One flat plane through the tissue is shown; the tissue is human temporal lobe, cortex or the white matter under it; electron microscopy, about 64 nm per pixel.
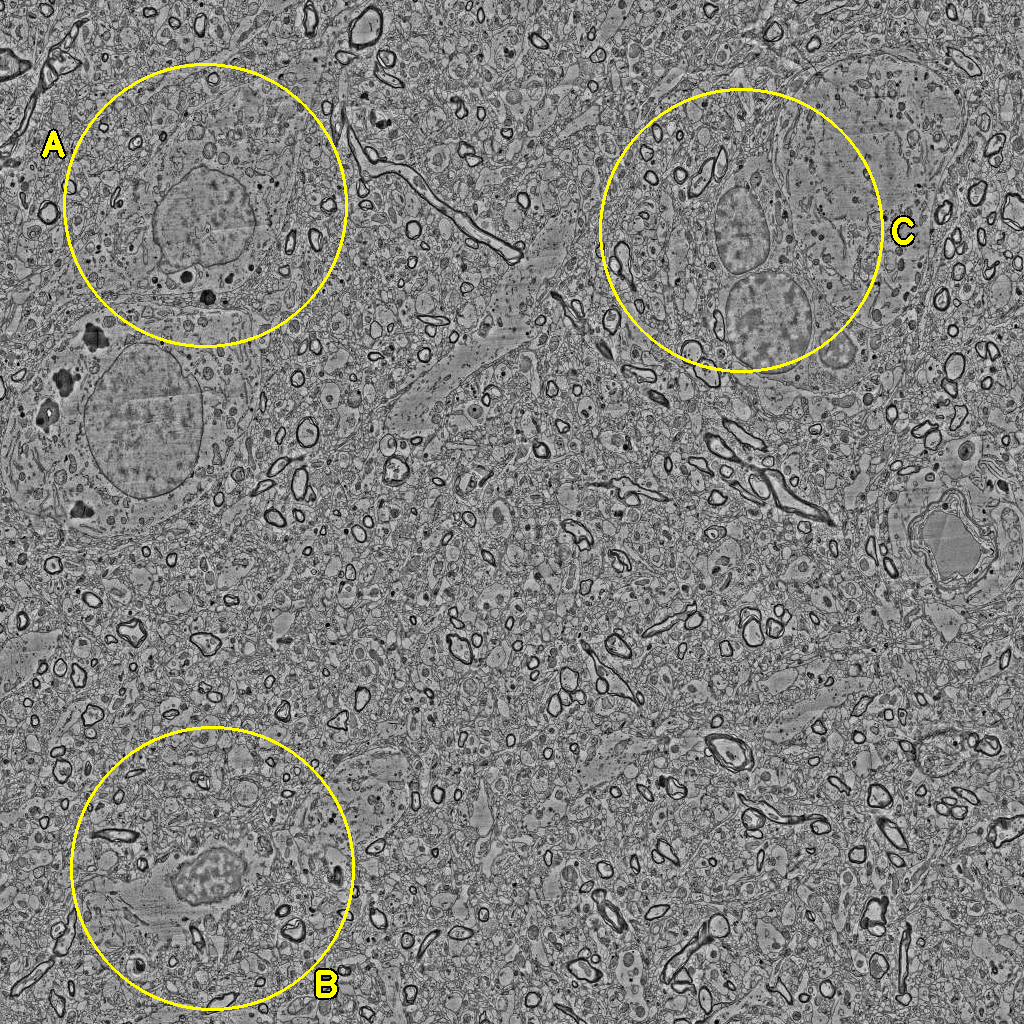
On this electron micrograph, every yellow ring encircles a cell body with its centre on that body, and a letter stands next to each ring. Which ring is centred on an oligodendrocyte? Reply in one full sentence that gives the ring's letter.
Ring C is the ring that has the cell asked for in its centre.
